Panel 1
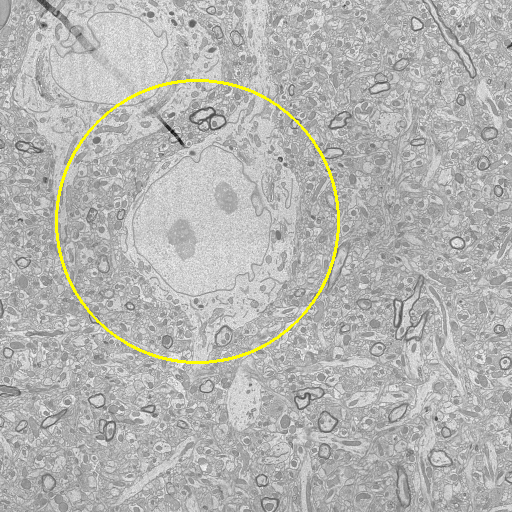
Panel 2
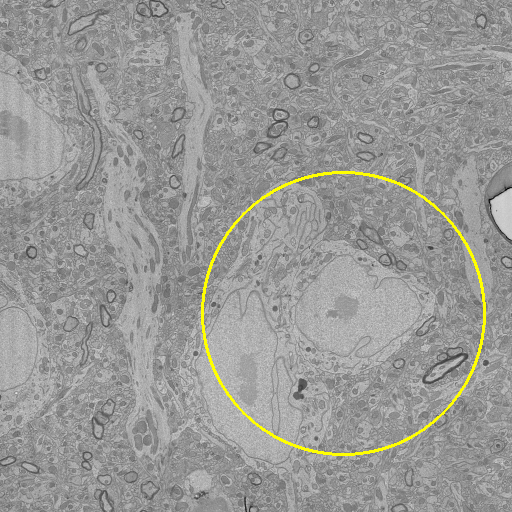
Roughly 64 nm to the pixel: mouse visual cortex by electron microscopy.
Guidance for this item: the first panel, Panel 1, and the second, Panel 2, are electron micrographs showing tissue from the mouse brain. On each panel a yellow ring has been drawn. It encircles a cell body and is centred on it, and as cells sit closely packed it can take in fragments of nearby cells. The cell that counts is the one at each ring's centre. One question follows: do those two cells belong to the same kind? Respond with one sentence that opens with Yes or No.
No, the cells at the ring centres in Panel 1 and Panel 2 are of two kinds.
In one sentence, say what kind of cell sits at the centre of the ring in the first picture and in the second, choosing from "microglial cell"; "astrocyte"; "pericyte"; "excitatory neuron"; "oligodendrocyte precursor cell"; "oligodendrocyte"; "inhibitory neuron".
The first picture's ringed cell is an excitatory neuron, while the second picture's is an inhibitory neuron.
